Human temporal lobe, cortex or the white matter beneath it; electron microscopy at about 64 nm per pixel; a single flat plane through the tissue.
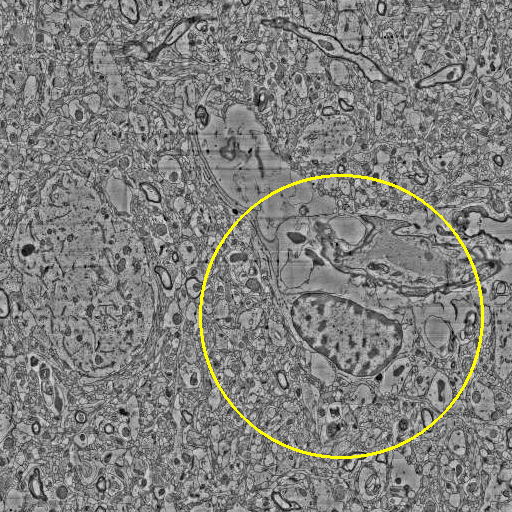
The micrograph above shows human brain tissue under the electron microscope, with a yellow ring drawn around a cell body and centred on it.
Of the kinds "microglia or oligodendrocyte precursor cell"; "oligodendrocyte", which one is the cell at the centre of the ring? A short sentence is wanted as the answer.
The one at the centre of the ring is a microglial cell or oligodendrocyte precursor cell.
